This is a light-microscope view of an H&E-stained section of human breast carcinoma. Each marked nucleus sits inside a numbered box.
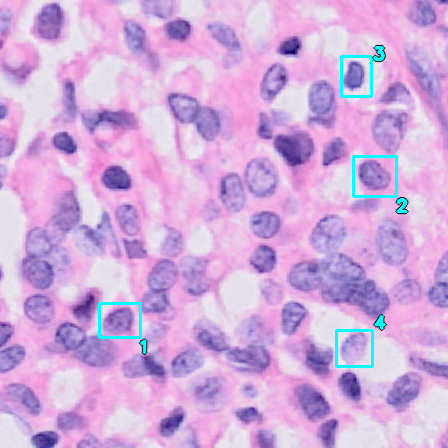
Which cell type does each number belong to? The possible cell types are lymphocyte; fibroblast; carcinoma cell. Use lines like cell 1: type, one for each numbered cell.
cell 1: carcinoma cell
cell 2: carcinoma cell
cell 3: lymphocyte
cell 4: carcinoma cell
